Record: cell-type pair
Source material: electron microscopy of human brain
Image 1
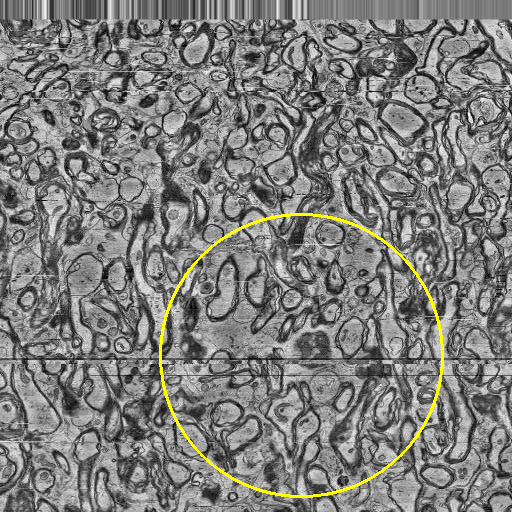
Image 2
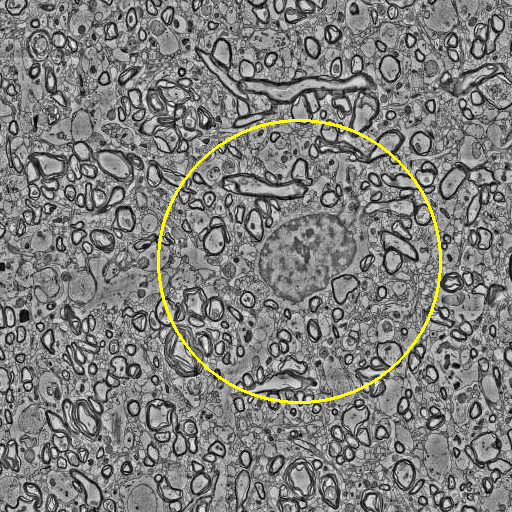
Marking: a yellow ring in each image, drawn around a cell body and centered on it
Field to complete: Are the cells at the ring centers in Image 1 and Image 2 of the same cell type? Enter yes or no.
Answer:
no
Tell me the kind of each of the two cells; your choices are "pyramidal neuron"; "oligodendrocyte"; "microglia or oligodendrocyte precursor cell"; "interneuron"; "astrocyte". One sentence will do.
The ringed cell is a microglial cell or oligodendrocyte precursor cell in the first picture and an oligodendrocyte in the second picture.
